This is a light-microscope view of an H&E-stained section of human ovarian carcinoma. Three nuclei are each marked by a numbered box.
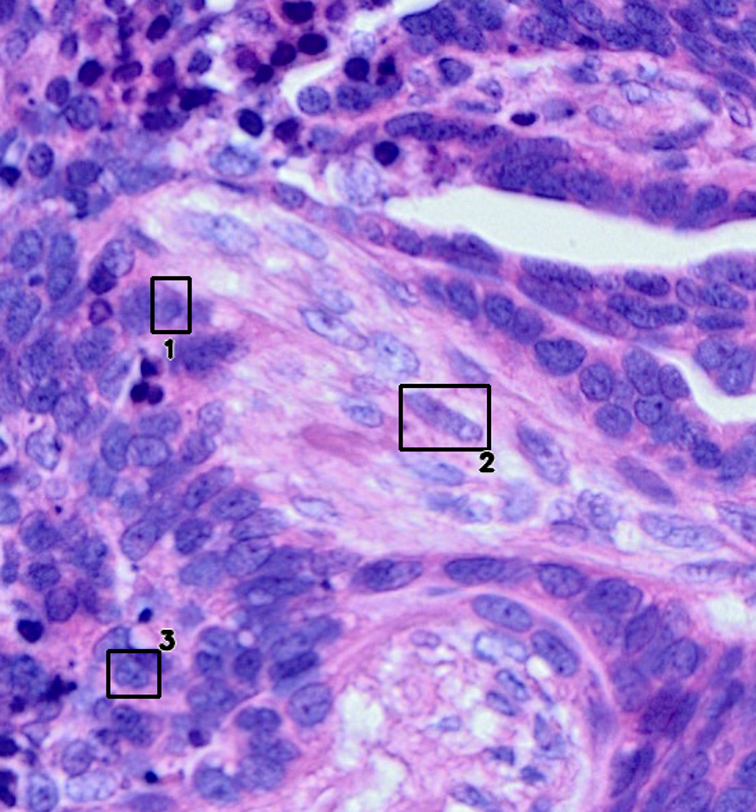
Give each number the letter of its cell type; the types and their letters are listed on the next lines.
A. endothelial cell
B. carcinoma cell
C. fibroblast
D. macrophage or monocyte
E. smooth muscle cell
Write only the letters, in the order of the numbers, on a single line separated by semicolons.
B; C; B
